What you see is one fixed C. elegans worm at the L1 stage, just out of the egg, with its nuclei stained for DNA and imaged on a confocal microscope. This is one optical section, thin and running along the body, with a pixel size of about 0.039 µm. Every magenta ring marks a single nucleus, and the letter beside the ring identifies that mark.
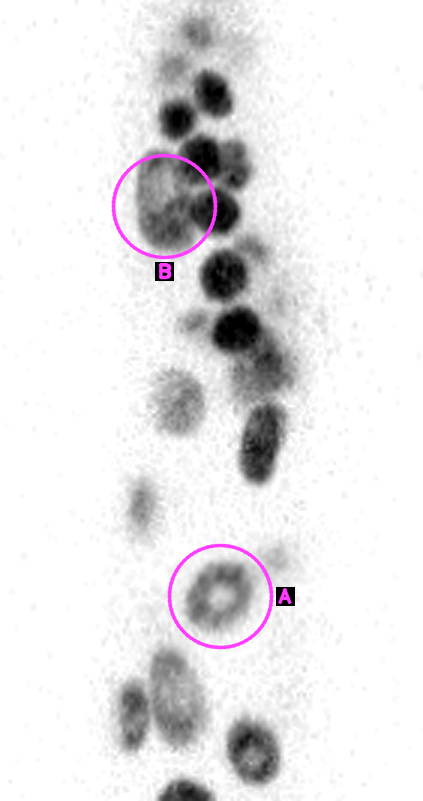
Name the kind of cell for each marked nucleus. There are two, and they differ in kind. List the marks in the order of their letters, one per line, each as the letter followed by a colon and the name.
A: seam cell
B: hypodermal cell (hyp)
